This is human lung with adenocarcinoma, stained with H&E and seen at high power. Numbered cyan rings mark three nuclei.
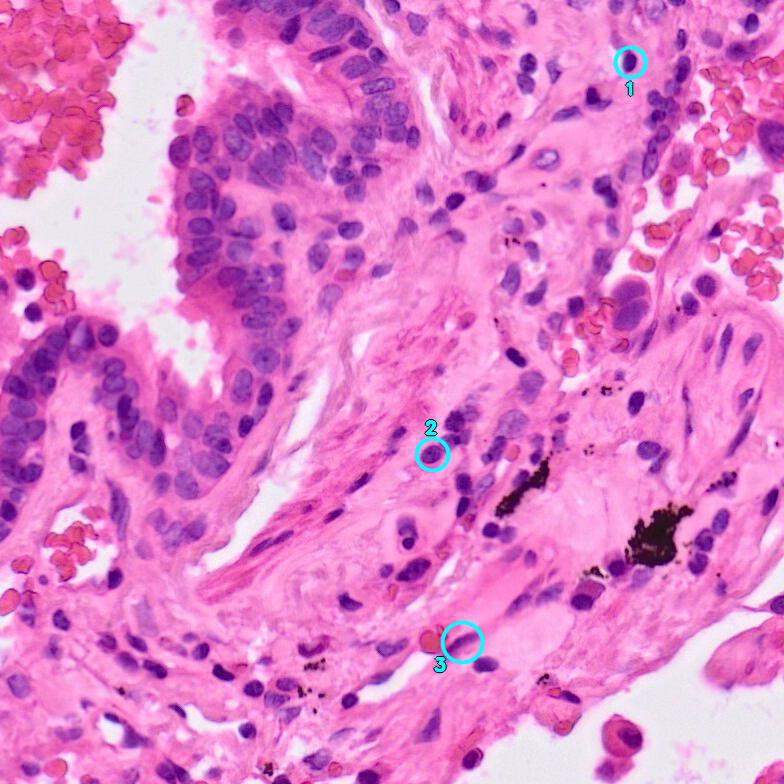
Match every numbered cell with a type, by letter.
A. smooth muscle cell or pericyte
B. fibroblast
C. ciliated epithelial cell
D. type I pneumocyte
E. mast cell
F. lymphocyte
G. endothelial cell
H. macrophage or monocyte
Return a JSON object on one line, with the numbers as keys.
{"1": "F", "2": "E", "3": "G"}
